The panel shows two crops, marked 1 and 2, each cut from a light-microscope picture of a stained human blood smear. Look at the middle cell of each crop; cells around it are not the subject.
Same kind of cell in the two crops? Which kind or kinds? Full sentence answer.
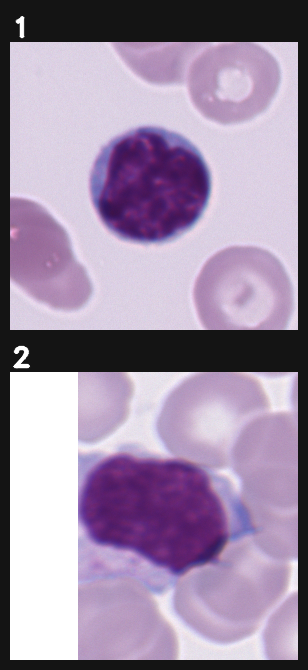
Yes, the cells at the centre of both crops are typical lymphocytes.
